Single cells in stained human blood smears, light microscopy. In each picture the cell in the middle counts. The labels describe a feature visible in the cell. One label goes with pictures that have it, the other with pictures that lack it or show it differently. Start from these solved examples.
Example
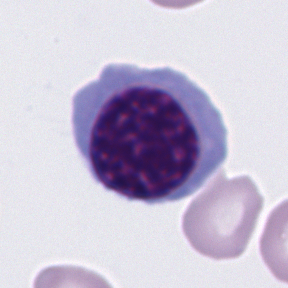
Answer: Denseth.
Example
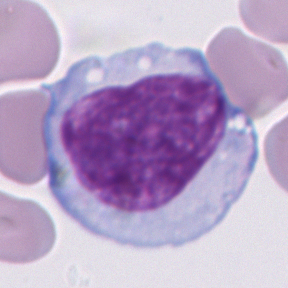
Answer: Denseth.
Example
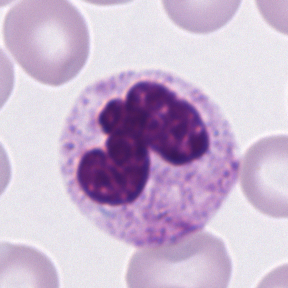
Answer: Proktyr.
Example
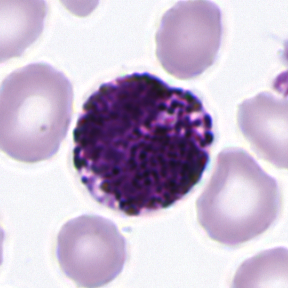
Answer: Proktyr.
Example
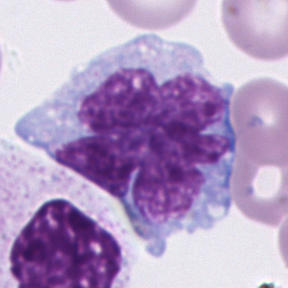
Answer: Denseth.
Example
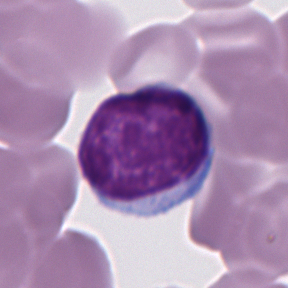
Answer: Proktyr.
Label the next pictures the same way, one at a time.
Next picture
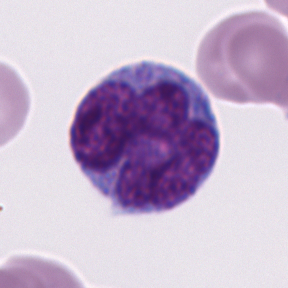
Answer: Proktyr.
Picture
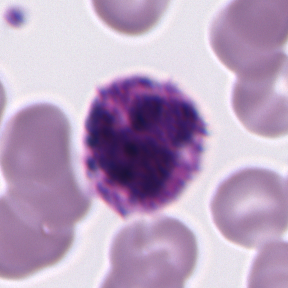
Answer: Denseth.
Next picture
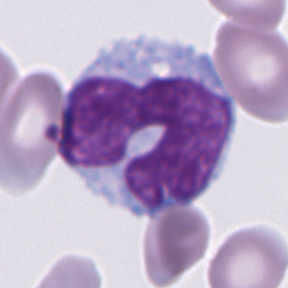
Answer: Denseth.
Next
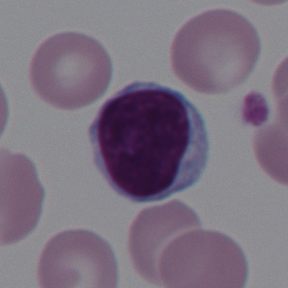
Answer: Proktyr.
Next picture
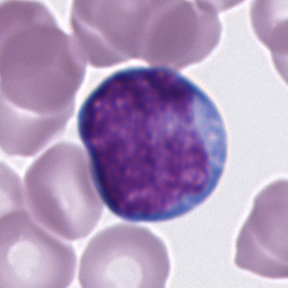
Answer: Proktyr.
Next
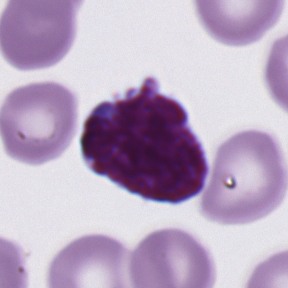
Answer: Denseth.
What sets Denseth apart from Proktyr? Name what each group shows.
Denseth, ragged outline or projections; Proktyr, smooth outline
